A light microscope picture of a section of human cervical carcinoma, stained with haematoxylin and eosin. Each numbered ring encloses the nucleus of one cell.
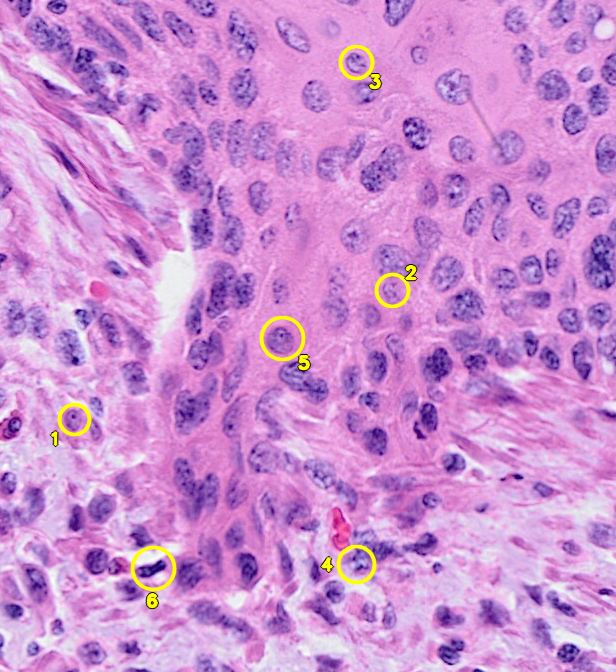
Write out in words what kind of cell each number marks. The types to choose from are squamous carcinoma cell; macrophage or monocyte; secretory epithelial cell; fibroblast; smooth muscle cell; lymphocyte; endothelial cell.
Cell 1 is a macrophage or monocyte. Cells 2, 3 and 5 are squamous carcinoma cells. Cell 4 is an endothelial cell. Cell 6 is a lymphocyte.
